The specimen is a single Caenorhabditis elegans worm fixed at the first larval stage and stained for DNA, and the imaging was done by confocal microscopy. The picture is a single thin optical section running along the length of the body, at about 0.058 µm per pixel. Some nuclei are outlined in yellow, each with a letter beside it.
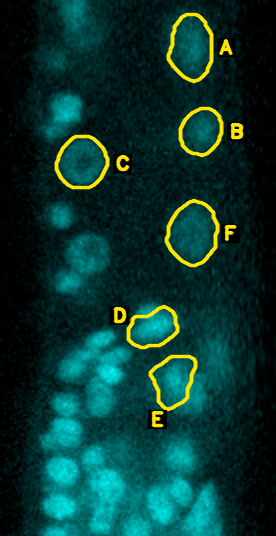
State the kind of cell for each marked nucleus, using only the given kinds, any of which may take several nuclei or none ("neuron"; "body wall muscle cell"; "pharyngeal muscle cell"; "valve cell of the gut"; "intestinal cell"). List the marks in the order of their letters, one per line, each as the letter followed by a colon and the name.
A: body wall muscle cell
B: body wall muscle cell
C: intestinal cell
D: valve cell of the gut
E: neuron
F: intestinal cell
